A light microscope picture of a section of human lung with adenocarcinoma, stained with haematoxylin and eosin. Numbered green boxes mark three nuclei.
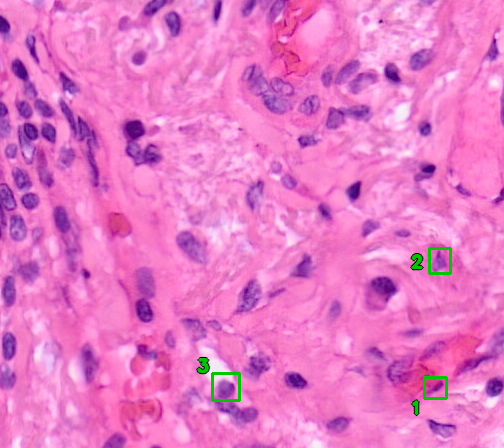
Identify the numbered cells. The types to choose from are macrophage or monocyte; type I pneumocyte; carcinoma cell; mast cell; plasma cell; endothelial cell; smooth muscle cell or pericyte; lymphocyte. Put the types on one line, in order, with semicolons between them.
endothelial cell; smooth muscle cell or pericyte; lymphocyte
